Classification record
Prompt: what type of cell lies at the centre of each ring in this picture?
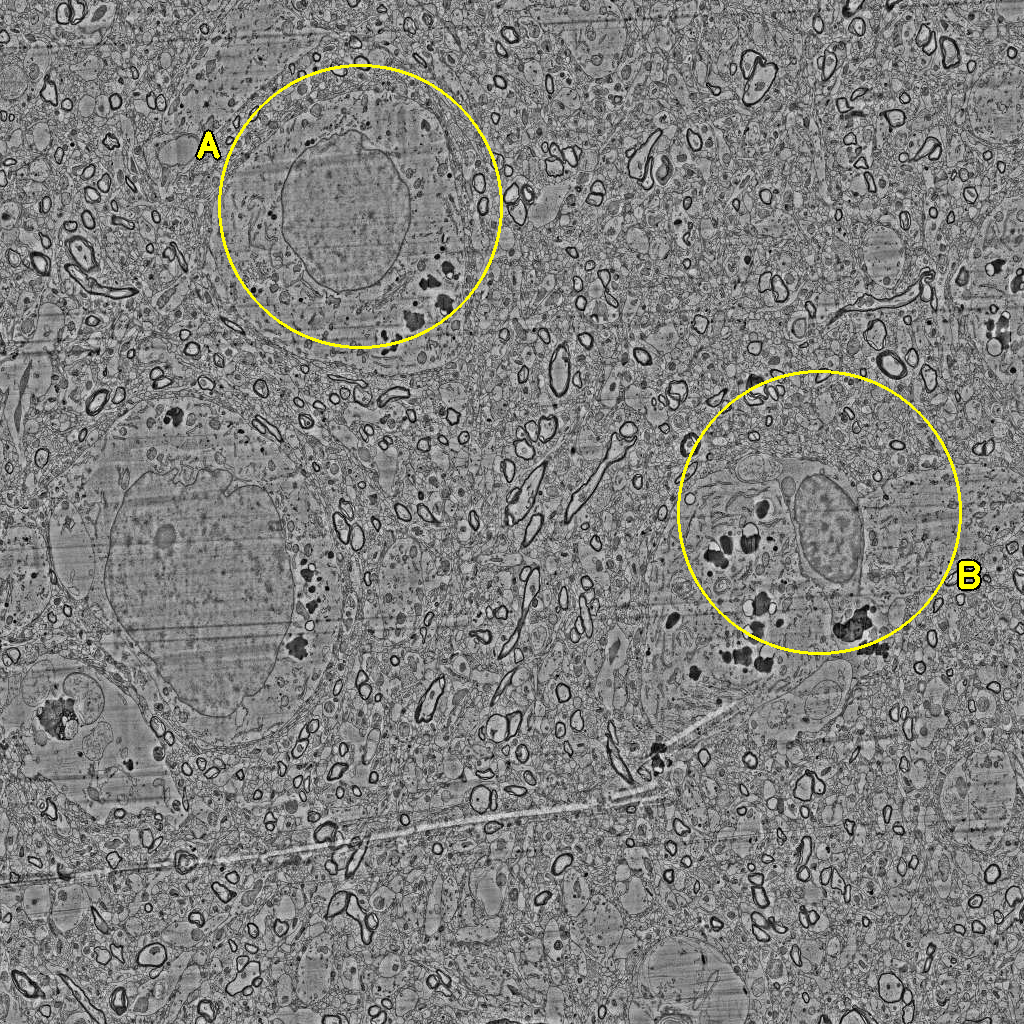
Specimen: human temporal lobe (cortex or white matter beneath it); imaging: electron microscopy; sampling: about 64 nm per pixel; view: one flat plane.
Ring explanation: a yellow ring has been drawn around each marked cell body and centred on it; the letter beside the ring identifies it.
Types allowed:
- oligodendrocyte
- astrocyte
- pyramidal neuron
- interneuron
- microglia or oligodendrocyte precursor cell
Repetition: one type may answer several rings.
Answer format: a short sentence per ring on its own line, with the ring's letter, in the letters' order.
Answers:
Ring A shows a pyramidal neuron at its centre.
Ring B shows an oligodendrocyte at its centre.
